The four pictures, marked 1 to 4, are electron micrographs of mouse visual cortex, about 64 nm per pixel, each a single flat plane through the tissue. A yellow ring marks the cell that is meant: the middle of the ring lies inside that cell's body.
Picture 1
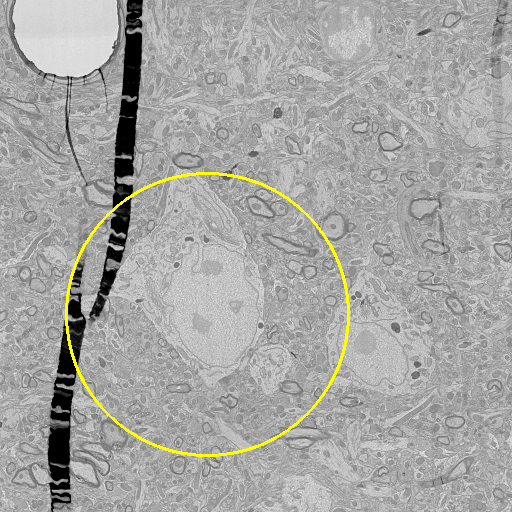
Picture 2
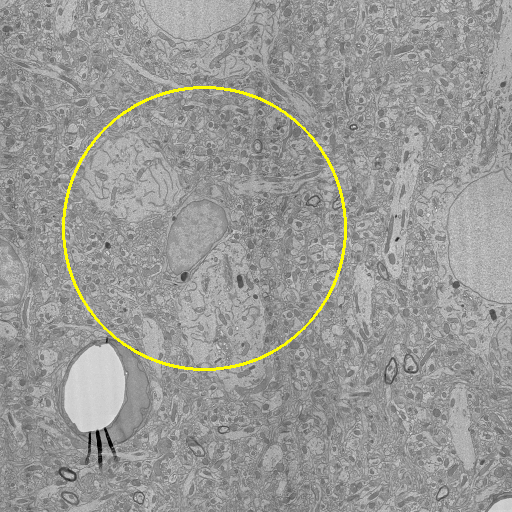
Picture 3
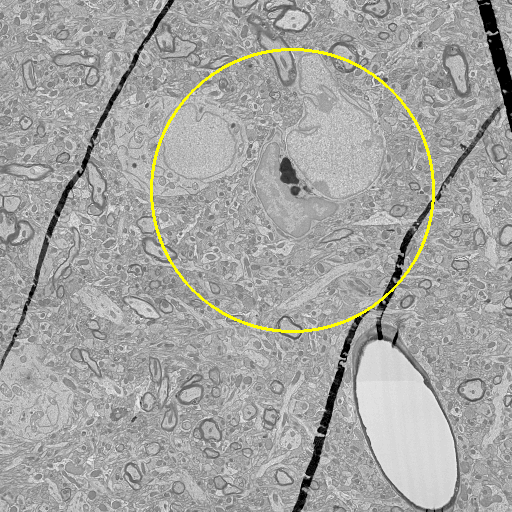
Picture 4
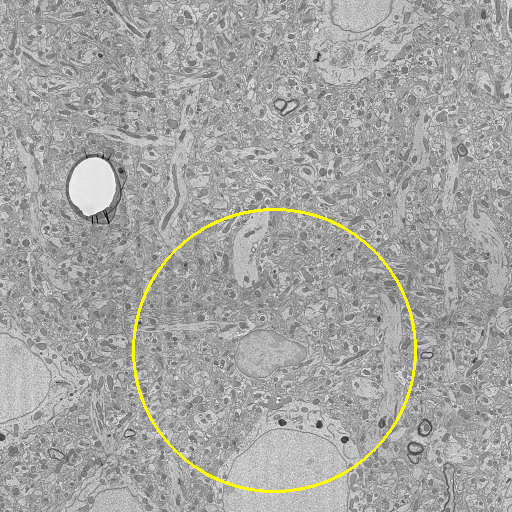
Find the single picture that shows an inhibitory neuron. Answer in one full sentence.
The cell in picture 1 is the inhibitory neuron.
